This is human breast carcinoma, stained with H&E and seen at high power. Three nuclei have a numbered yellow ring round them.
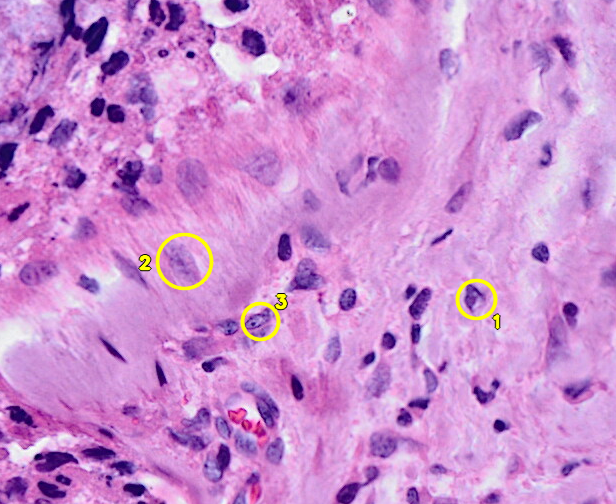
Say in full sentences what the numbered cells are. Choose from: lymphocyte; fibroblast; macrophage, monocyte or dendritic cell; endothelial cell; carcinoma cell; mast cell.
Cell 1 is a fibroblast, cell 2 is a fibroblast and cell 3 is an endothelial cell.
